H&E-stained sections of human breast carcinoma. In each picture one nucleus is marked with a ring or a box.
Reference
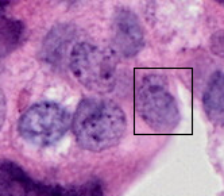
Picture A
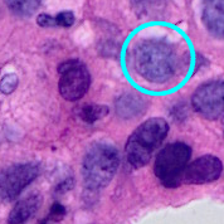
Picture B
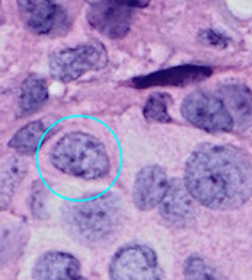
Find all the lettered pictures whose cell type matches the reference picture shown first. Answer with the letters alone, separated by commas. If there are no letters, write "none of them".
A, B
